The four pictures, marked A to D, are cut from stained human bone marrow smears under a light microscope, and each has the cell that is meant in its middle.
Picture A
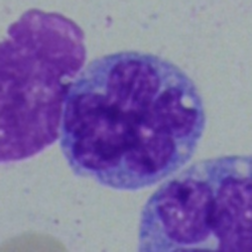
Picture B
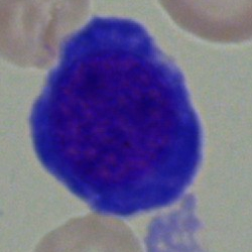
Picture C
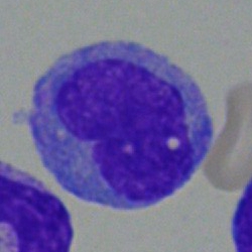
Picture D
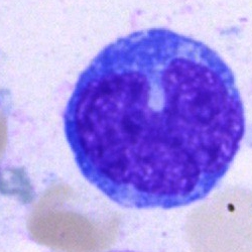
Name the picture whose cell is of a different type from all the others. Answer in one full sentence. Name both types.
The different one is picture B; it shows a proerythroblast, whereas all the others show monocytes.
